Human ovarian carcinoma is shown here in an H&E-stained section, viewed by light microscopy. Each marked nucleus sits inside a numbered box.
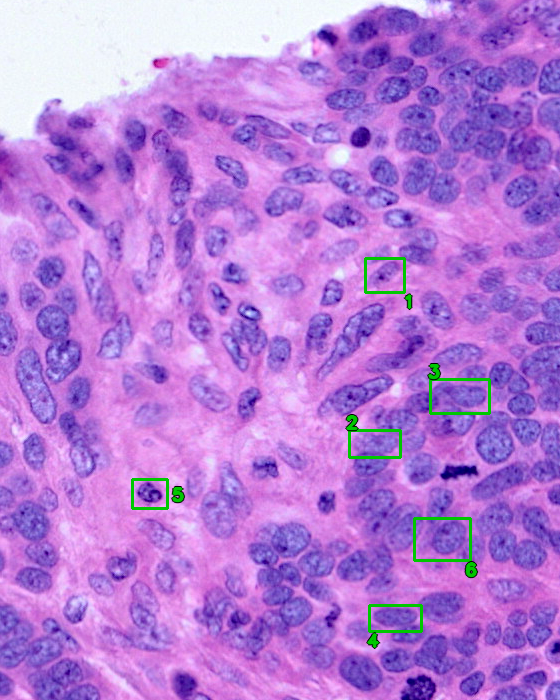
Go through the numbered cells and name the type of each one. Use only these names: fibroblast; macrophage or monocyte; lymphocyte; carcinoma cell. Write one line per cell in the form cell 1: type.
cell 1: fibroblast
cell 2: carcinoma cell
cell 3: carcinoma cell
cell 4: carcinoma cell
cell 5: lymphocyte
cell 6: carcinoma cell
